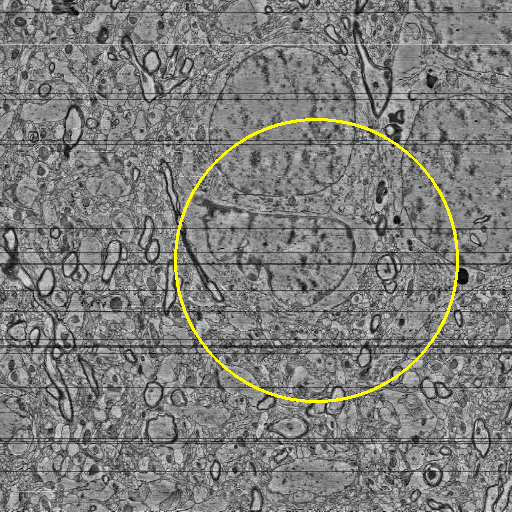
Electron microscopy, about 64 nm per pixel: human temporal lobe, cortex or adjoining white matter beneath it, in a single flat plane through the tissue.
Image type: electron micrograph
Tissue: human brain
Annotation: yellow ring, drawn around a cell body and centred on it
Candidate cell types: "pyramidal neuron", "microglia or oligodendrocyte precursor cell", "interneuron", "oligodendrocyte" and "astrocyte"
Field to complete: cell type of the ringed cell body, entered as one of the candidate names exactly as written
microglia or oligodendrocyte precursor cell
